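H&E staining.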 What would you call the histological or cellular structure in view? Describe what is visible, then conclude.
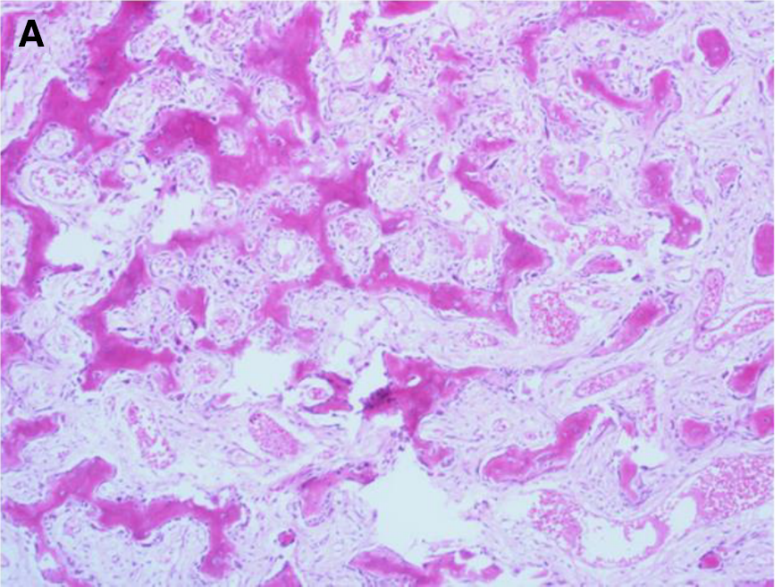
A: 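Immature trabeculae. Irregular, branching deep pink strands of matrix run through the field. Pale fibrous stroma with small vessels fills the spaces between the strands.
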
